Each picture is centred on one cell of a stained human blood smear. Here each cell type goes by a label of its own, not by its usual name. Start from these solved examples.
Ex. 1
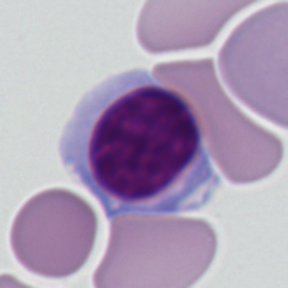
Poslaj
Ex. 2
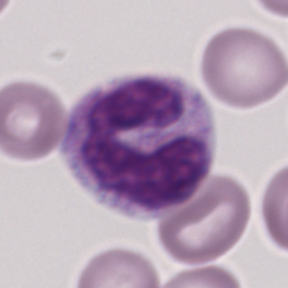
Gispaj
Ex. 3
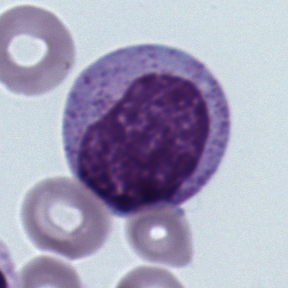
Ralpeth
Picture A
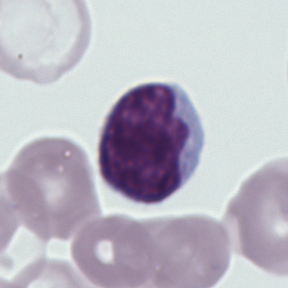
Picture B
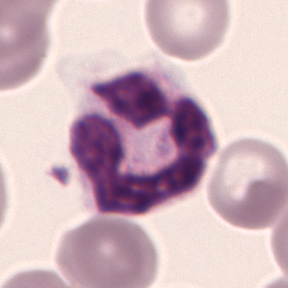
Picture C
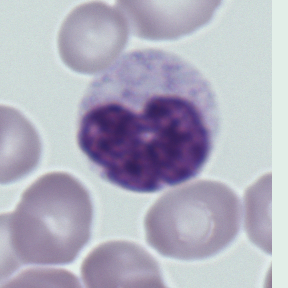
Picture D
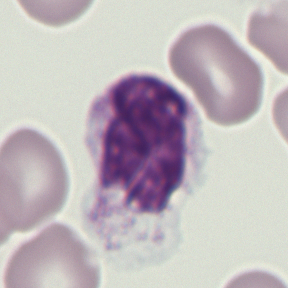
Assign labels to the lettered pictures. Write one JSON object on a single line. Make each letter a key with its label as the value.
{"A": "Poslaj", "B": "Gispaj", "C": "Gispaj", "D": "Gispaj"}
